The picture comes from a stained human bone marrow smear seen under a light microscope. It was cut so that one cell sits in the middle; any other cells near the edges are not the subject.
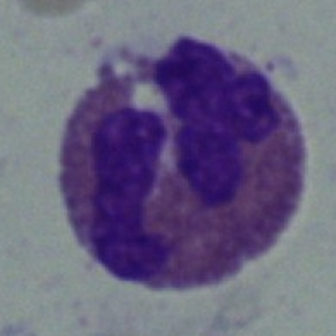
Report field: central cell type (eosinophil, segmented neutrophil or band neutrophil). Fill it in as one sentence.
The cell in the middle of the field of view is an eosinophil.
